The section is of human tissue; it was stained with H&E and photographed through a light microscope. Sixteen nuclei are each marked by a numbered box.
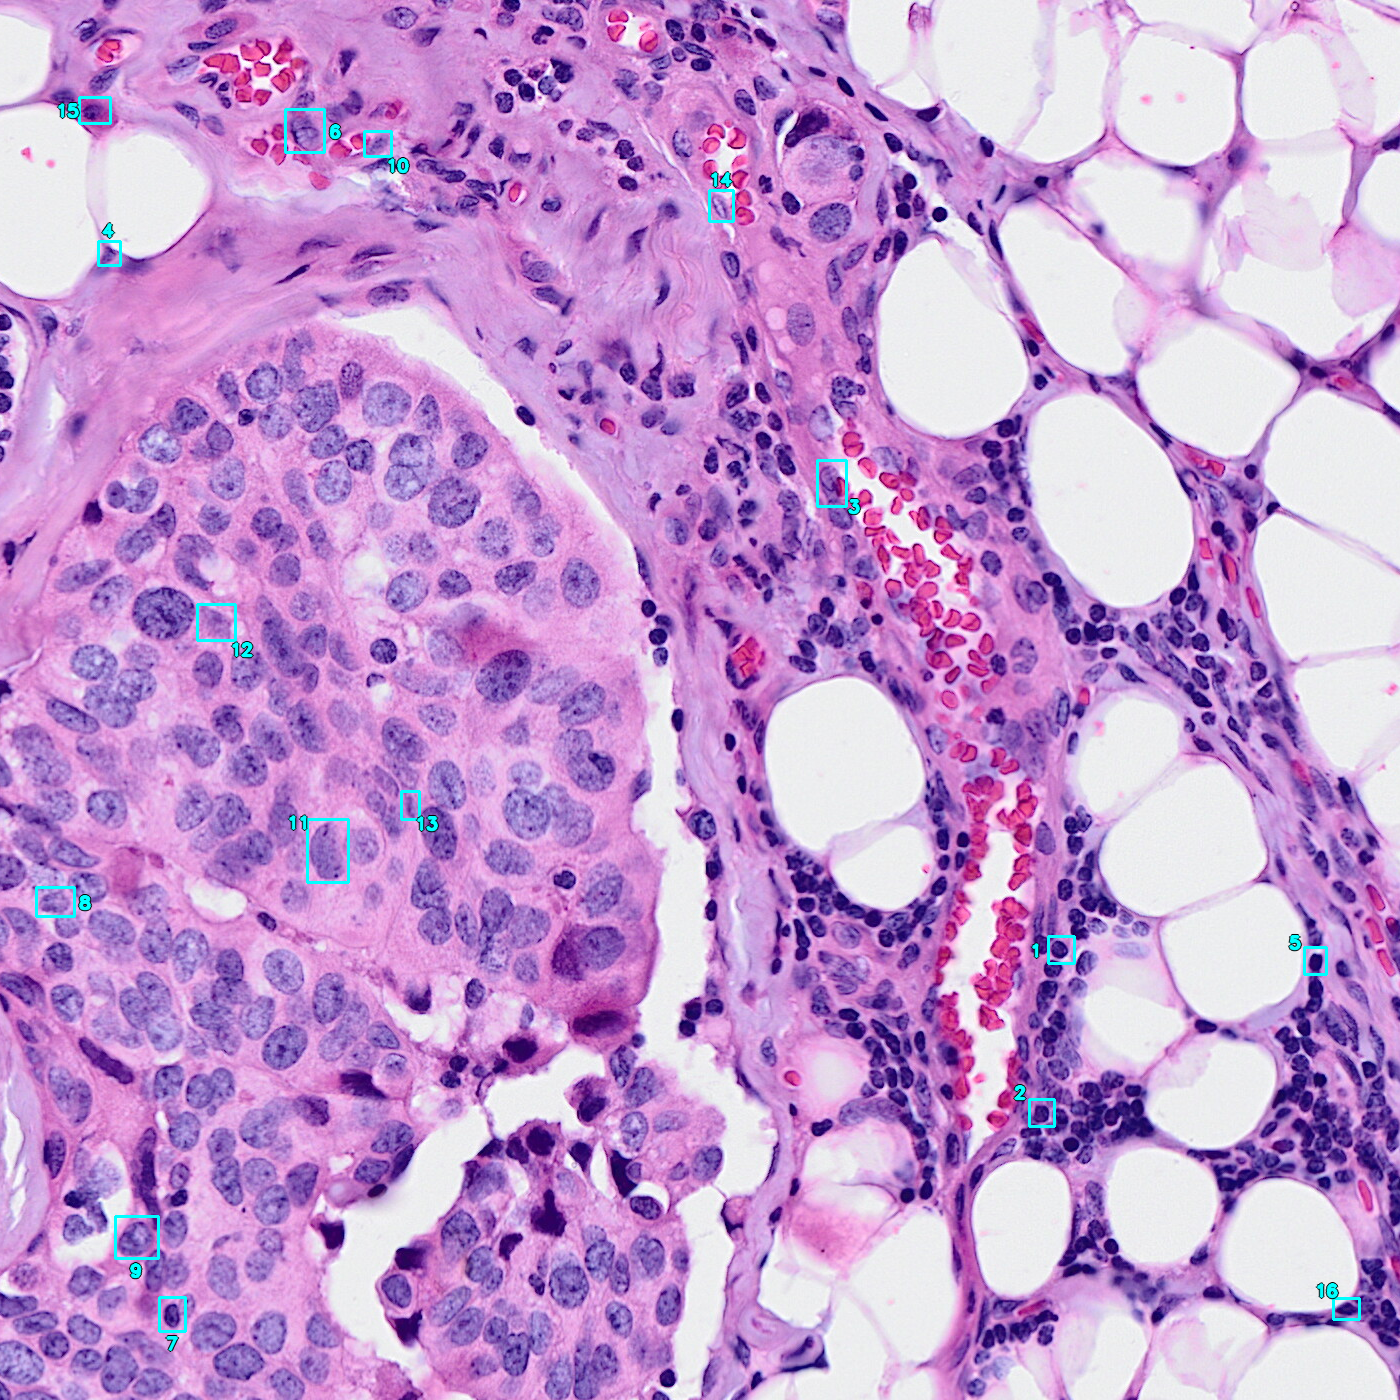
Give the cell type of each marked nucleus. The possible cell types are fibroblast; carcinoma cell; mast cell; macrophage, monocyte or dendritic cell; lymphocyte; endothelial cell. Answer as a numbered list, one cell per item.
1. lymphocyte
2. lymphocyte
3. endothelial cell
4. fibroblast
5. lymphocyte
6. endothelial cell
7. lymphocyte
8. carcinoma cell
9. carcinoma cell
10. endothelial cell
11. carcinoma cell
12. carcinoma cell
13. carcinoma cell
14. endothelial cell
15. mast cell
16. lymphocyte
